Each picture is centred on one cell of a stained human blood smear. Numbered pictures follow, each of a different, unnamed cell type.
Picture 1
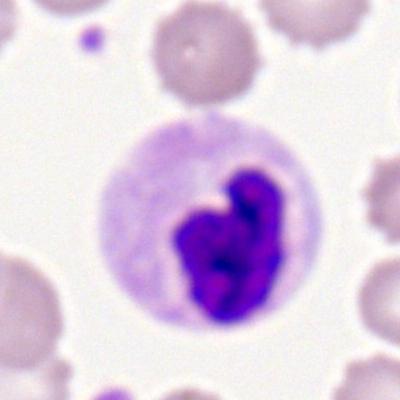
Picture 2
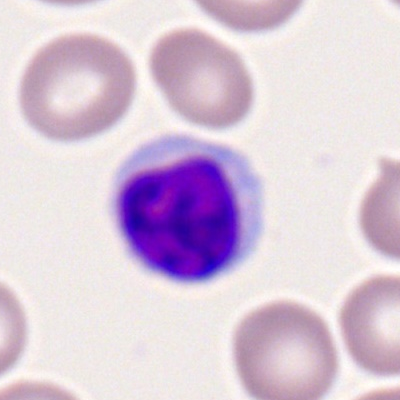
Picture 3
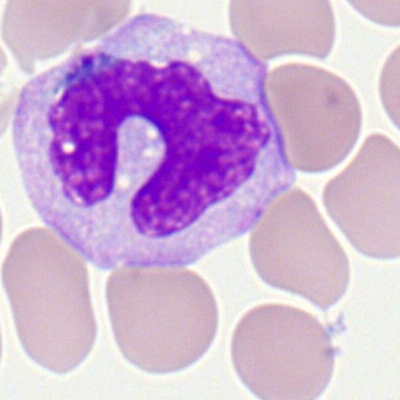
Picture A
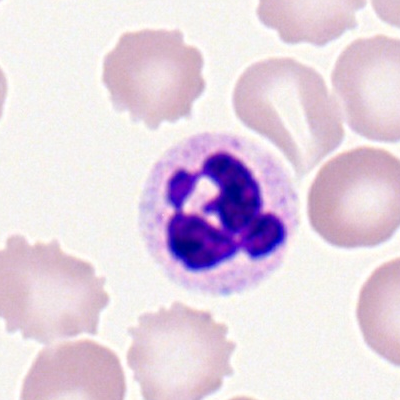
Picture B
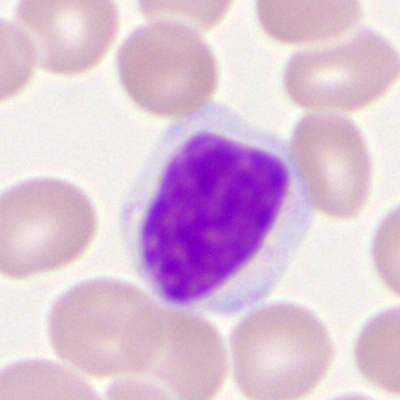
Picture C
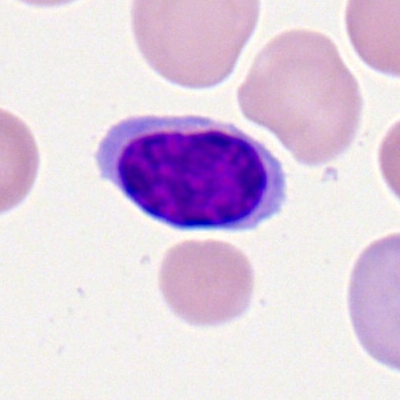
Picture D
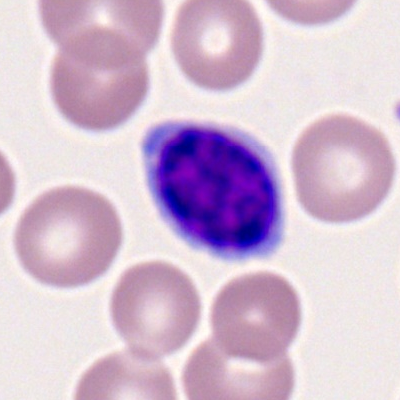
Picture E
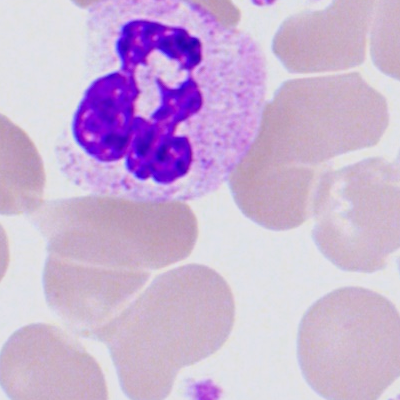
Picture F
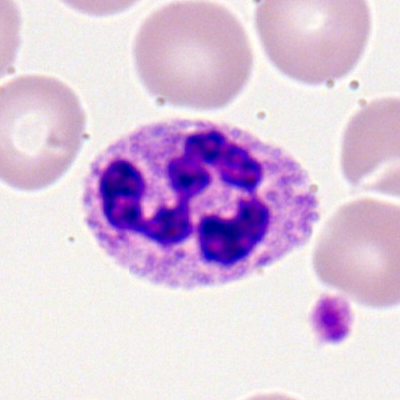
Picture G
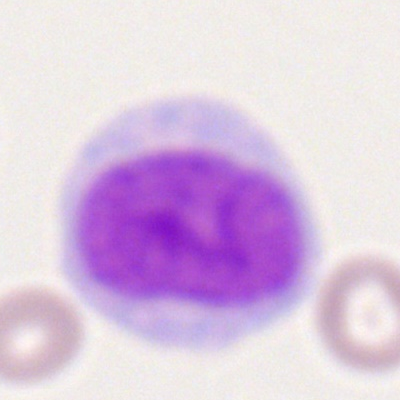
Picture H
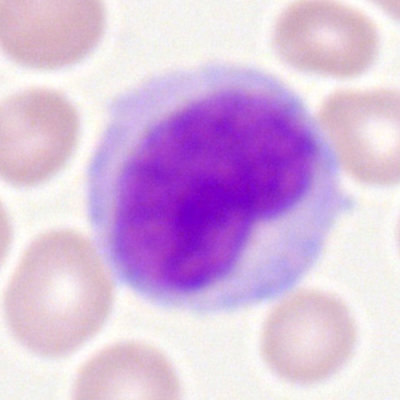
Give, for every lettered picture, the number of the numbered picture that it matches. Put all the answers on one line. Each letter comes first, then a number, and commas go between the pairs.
A 1, B 2, C 2, D 2, E 1, F 1, G 3, H 3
